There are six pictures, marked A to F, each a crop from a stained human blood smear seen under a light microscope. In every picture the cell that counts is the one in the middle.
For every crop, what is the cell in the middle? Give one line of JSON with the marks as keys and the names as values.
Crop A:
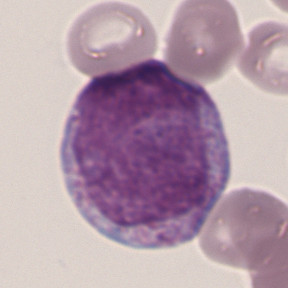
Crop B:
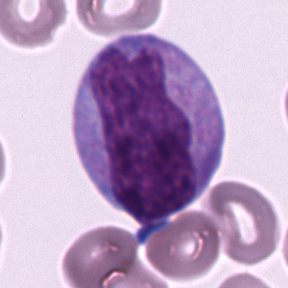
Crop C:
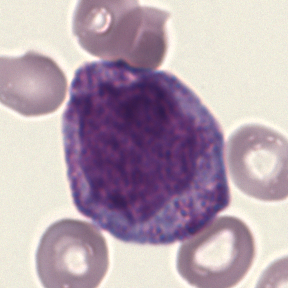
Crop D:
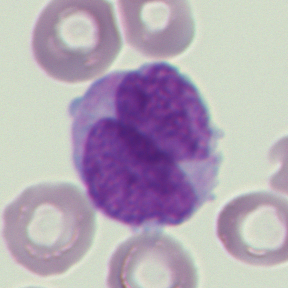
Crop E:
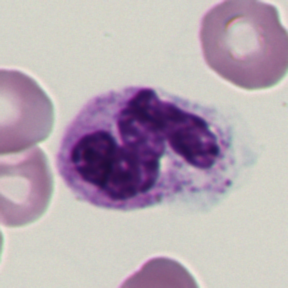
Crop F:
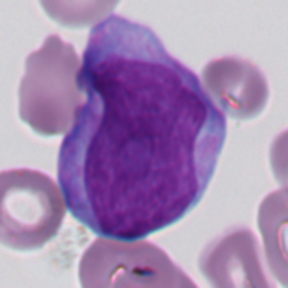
{"A": "atypical promyelocyte", "B": "atypical promyelocyte", "C": "atypical promyelocyte", "D": "atypical promyelocyte", "E": "segmented neutrophil", "F": "atypical promyelocyte"}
